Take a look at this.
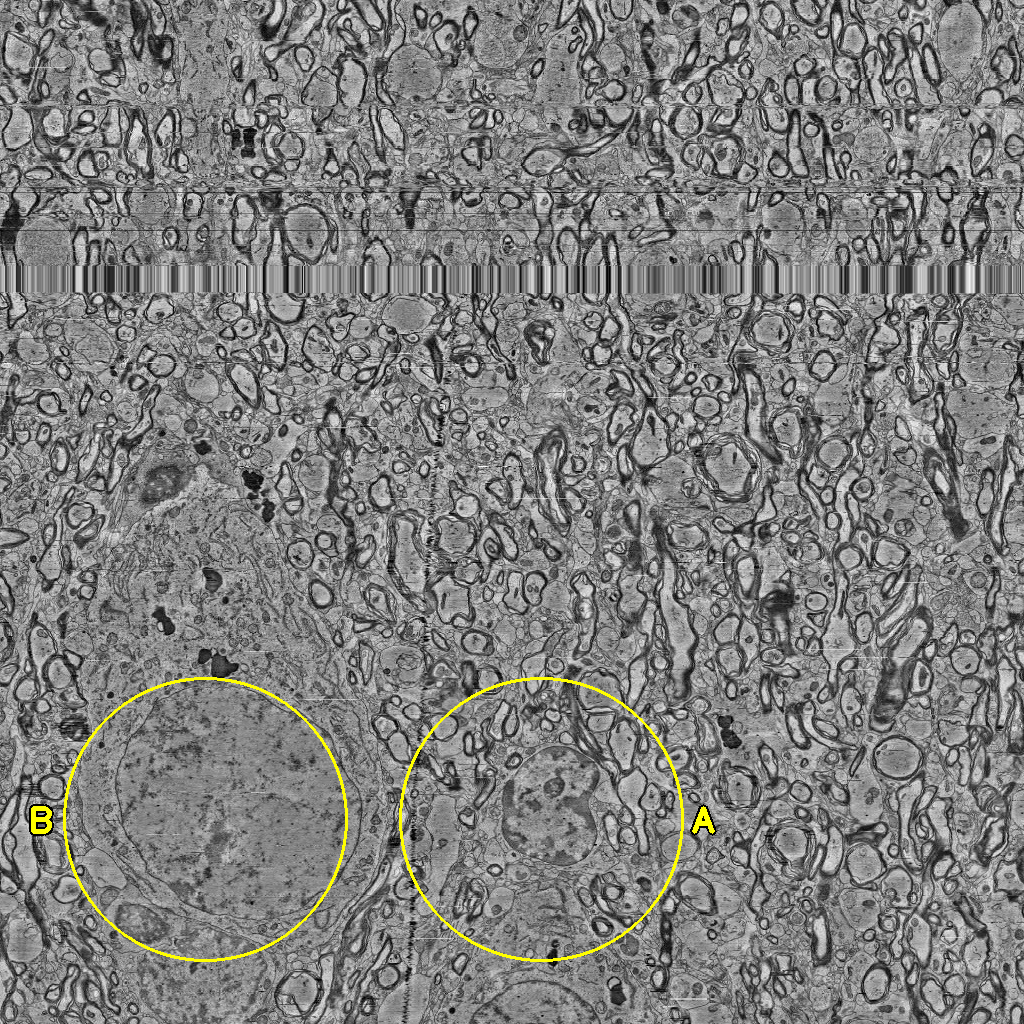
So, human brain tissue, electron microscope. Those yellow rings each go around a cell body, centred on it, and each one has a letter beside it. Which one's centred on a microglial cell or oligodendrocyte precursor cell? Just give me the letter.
A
